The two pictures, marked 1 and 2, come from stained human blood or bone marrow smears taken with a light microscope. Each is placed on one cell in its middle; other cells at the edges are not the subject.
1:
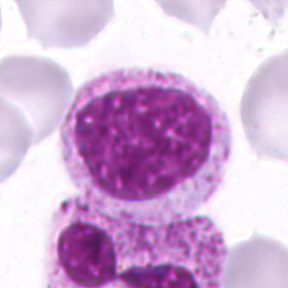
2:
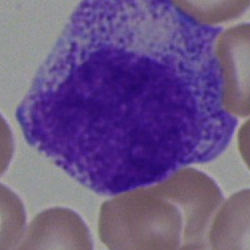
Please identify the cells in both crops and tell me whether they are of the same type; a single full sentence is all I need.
Yes, these two crops both show myelocytes.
